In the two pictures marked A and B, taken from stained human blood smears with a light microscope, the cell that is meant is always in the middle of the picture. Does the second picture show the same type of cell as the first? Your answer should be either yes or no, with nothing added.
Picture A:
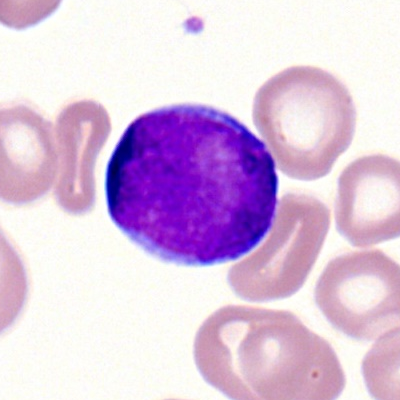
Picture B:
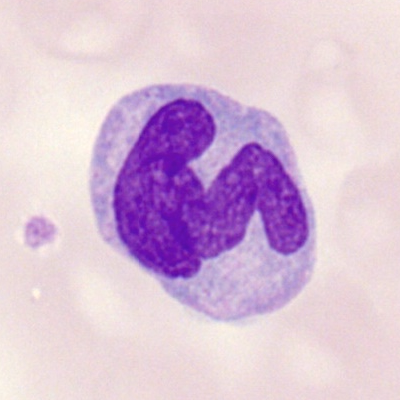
no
